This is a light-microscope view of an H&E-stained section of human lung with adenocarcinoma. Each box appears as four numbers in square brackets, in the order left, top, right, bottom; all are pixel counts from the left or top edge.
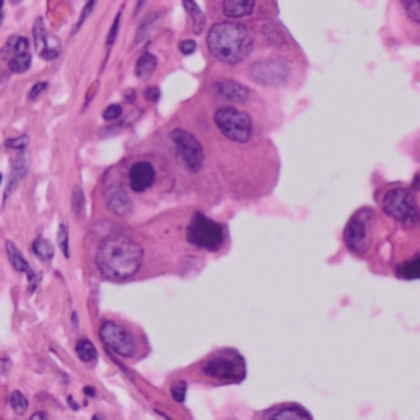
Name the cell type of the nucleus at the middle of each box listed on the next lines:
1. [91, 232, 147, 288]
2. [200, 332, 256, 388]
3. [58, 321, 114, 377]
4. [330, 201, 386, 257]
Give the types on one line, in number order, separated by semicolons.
carcinoma cell; carcinoma cell; plasma cell; carcinoma cell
